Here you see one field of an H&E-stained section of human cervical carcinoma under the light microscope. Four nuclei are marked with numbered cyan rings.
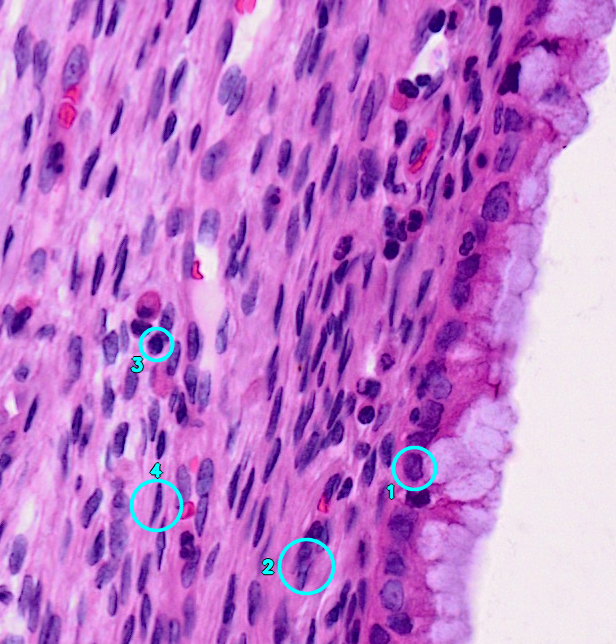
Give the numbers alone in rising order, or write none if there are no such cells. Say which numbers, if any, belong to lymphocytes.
3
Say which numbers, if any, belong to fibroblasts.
4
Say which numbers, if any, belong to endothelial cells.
2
